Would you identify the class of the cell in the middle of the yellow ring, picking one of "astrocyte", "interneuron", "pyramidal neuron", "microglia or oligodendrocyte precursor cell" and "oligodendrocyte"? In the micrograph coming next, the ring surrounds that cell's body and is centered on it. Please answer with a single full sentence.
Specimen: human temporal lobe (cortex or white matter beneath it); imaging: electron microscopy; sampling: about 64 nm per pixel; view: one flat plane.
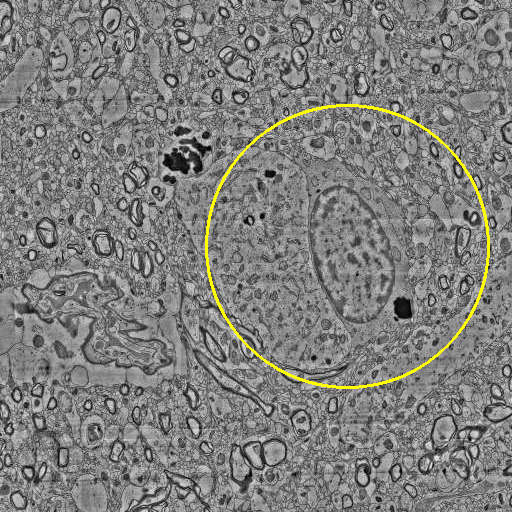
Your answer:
In the micrograph, it is an oligodendrocyte whose body lies at the ring's center.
